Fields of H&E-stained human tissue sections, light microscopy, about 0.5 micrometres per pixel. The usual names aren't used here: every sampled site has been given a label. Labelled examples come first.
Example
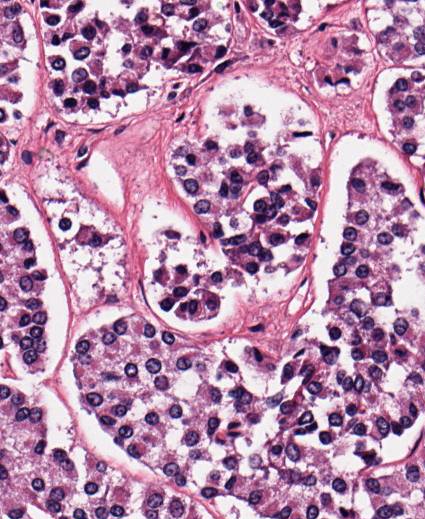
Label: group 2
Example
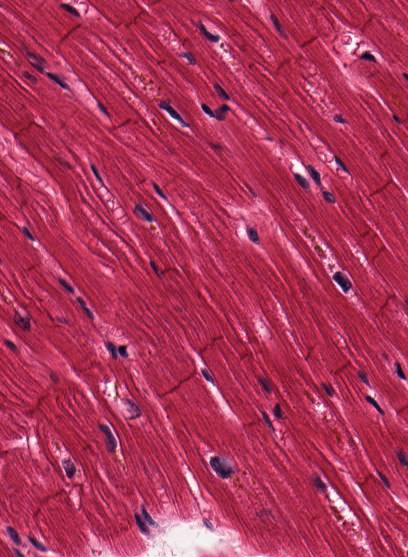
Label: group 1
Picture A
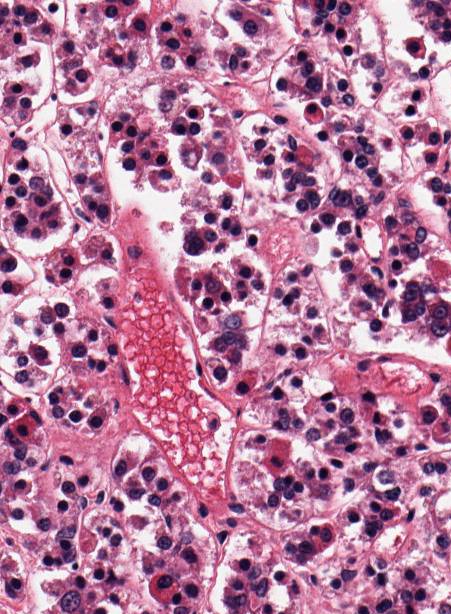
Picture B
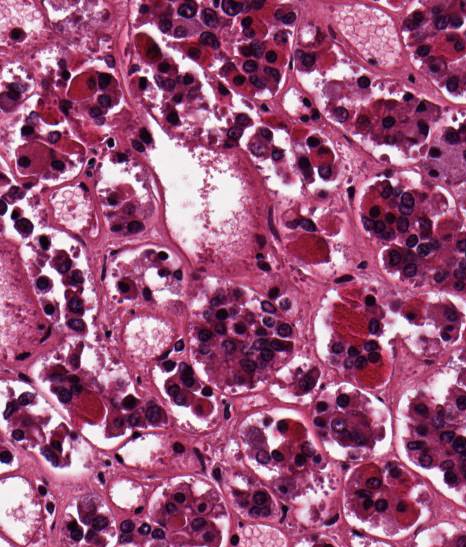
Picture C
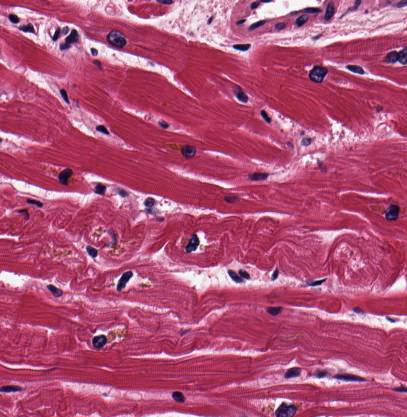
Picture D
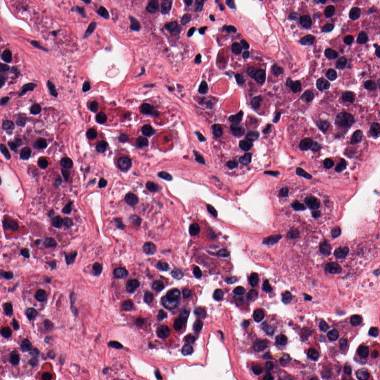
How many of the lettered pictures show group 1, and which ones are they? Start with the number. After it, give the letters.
1: C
